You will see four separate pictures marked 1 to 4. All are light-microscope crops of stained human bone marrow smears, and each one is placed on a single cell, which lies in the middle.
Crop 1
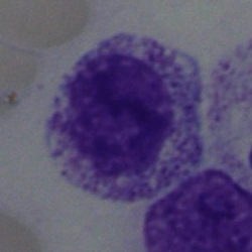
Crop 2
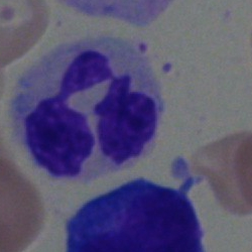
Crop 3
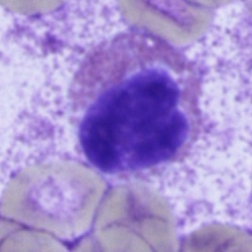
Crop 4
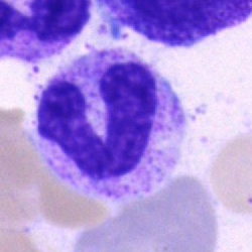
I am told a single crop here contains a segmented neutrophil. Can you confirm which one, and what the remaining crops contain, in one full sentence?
Crop 2 comes out as a segmented neutrophil, while crop 1 is a myelocyte, crop 3 is an eosinophil and crop 4 is a band neutrophil.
